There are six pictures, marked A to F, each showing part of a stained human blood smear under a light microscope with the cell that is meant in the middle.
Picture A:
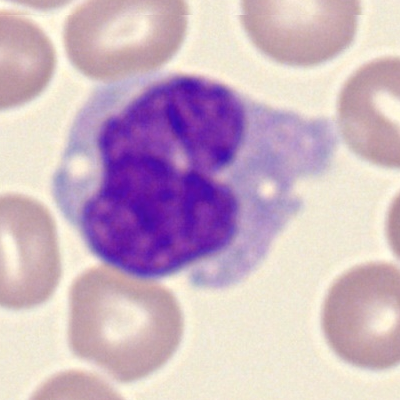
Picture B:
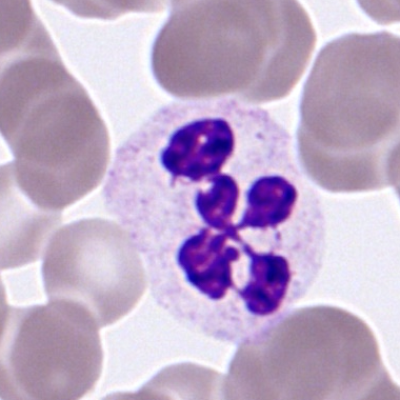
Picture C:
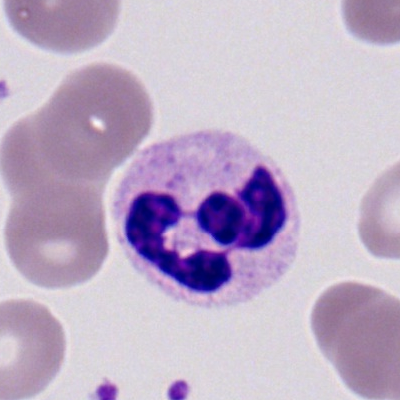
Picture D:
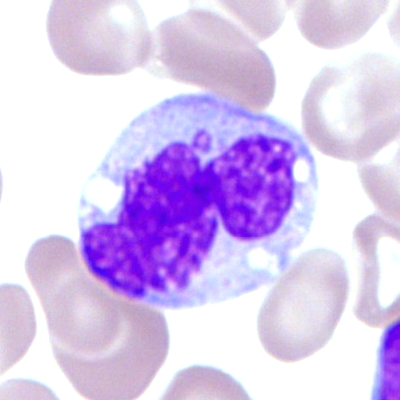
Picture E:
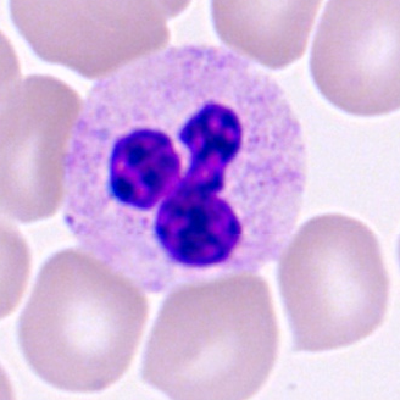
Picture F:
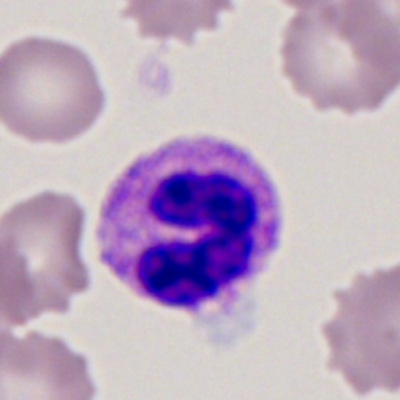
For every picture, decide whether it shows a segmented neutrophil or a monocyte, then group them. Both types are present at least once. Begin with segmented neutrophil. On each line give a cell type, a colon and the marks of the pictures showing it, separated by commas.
segmented neutrophil: B, C, E, F
monocyte: A, D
